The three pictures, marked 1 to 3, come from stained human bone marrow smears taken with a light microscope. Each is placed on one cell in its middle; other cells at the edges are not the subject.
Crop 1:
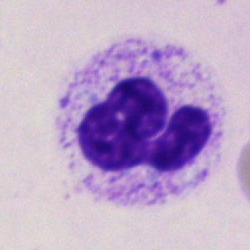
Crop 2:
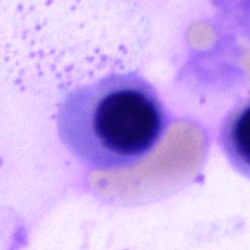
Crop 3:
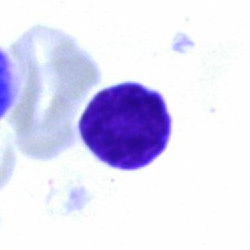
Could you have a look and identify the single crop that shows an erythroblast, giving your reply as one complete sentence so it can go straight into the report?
Crop 2 is the crop that shows an erythroblast in its middle.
